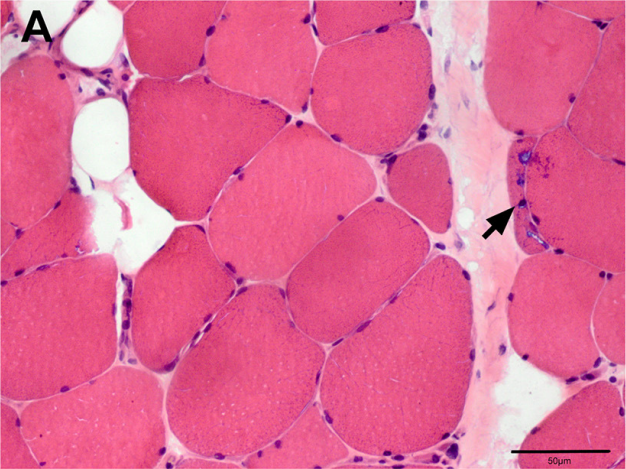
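Cross-sectioned skeletal muscle fibres stained pink, with small dark peripheral nuclei, show marked variation in fibre size and rounded outlines. Connective tissue between fascicles is widened, and one fibre near its edge holds small clear spaces rimmed by purple-blue granular material.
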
